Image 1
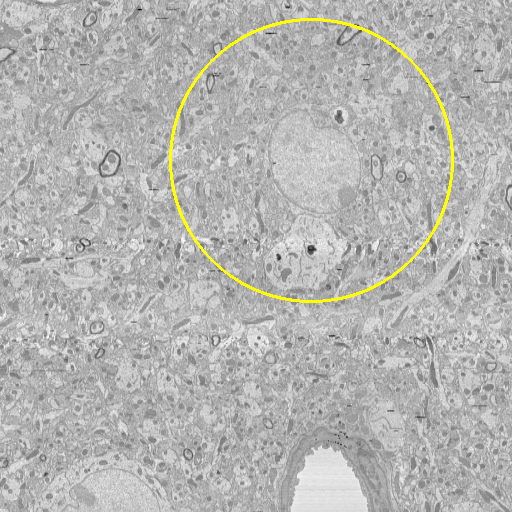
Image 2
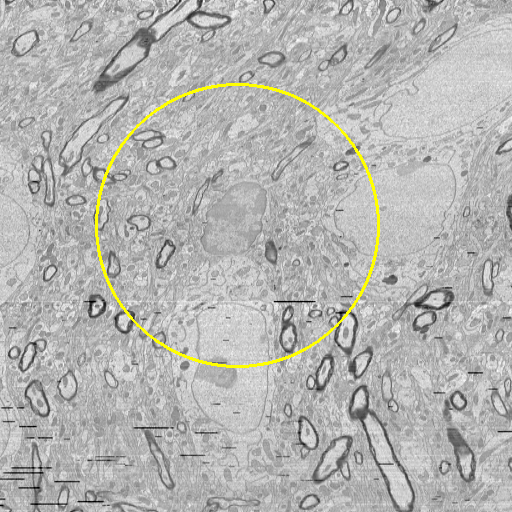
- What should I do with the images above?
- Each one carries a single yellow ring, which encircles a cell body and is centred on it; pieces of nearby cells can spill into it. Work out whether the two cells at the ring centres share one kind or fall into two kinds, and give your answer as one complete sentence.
The ring-centre cells of Image 1 and Image 2 fall into two kinds.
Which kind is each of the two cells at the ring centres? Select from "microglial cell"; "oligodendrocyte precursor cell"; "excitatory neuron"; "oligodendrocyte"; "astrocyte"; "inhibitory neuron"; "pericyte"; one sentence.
The cell at the centre of the ring is an astrocyte in the first picture and a microglial cell in the second.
